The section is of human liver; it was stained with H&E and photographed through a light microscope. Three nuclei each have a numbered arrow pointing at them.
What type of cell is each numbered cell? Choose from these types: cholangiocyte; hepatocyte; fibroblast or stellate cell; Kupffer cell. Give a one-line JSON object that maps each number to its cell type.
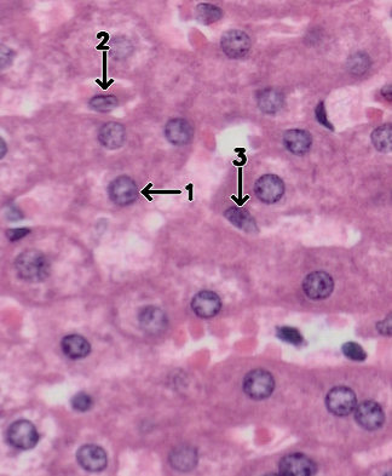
{"1": "hepatocyte", "2": "Kupffer cell", "3": "Kupffer cell"}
